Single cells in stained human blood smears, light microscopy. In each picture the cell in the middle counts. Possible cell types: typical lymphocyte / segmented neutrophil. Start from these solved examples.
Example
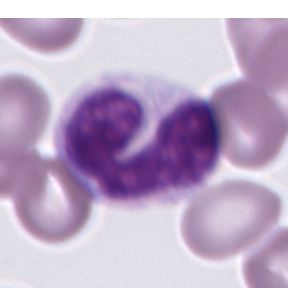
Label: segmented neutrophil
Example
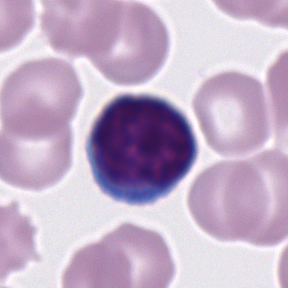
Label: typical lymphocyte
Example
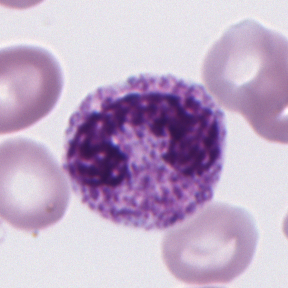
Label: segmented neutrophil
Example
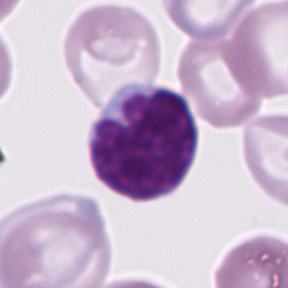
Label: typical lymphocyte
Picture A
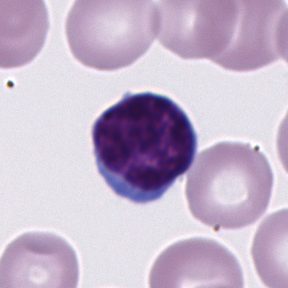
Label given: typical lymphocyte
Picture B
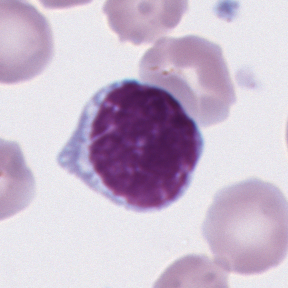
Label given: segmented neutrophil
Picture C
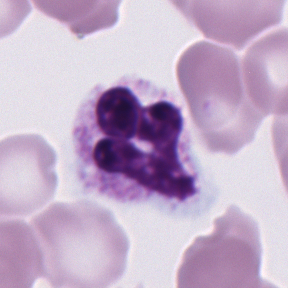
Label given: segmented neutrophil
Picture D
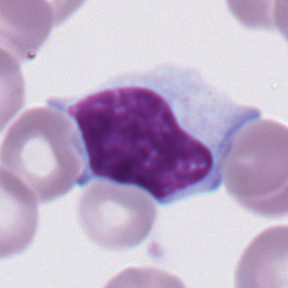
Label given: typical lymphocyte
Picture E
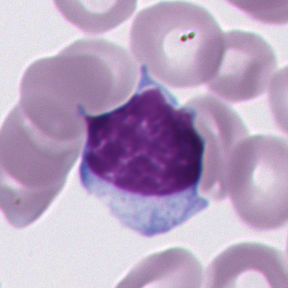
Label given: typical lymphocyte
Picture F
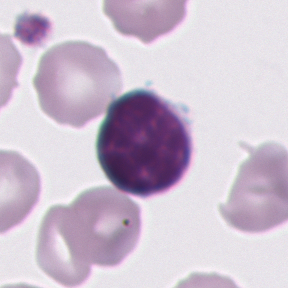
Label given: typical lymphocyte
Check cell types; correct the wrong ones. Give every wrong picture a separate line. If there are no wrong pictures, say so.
B: change segmented neutrophil to typical lymphocyte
